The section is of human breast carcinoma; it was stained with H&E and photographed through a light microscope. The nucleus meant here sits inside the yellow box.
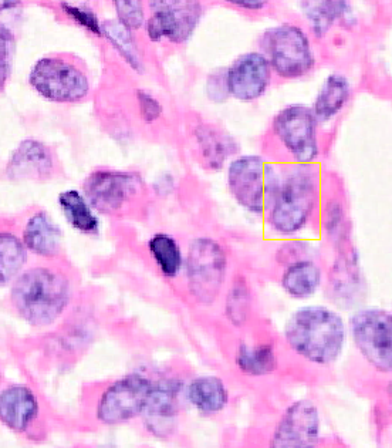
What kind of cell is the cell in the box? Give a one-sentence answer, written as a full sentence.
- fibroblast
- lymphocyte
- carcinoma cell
The correct response here is that the cell in the box is a carcinoma cell.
